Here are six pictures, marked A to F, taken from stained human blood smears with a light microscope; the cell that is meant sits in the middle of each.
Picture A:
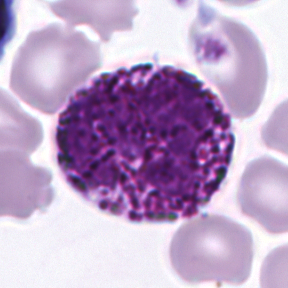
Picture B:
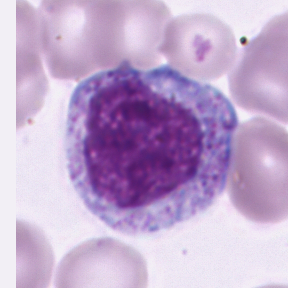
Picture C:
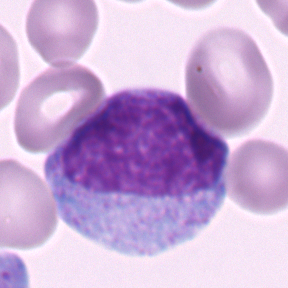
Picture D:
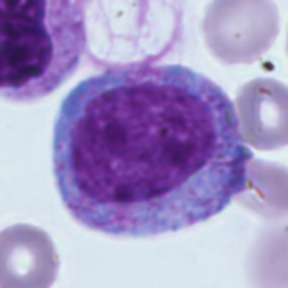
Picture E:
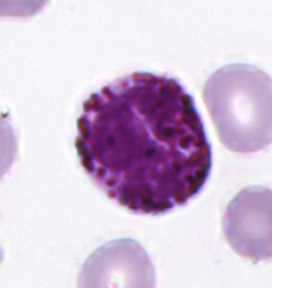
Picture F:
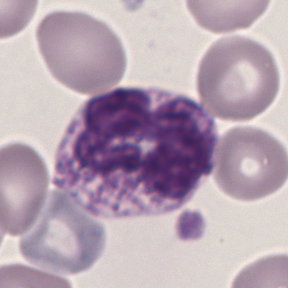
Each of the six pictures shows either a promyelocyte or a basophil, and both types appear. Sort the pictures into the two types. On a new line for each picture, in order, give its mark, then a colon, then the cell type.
A: basophil
B: promyelocyte
C: promyelocyte
D: promyelocyte
E: basophil
F: basophil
